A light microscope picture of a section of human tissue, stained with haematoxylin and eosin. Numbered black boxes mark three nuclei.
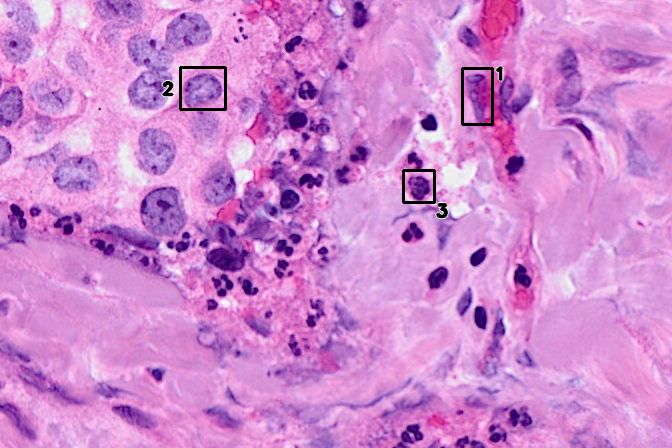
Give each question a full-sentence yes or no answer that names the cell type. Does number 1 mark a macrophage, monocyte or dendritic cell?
No, cell 1 is classified as an endothelial cell rather than a macrophage, monocyte or dendritic cell.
